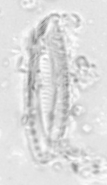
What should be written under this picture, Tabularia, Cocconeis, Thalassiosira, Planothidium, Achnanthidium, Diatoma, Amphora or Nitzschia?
Nitzschia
